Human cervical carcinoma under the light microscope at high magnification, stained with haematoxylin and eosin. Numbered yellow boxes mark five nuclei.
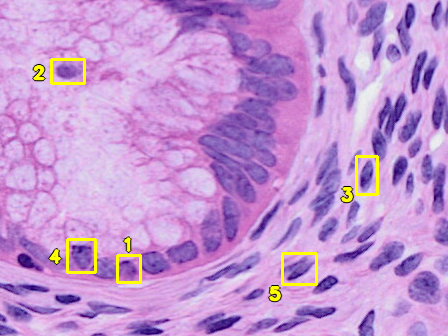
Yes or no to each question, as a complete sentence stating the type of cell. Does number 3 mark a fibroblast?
Yes, to put it simply, cell number 3 is a fibroblast.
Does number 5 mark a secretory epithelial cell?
No, cell 5 is a fibroblast and should not be called a secretory epithelial cell.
